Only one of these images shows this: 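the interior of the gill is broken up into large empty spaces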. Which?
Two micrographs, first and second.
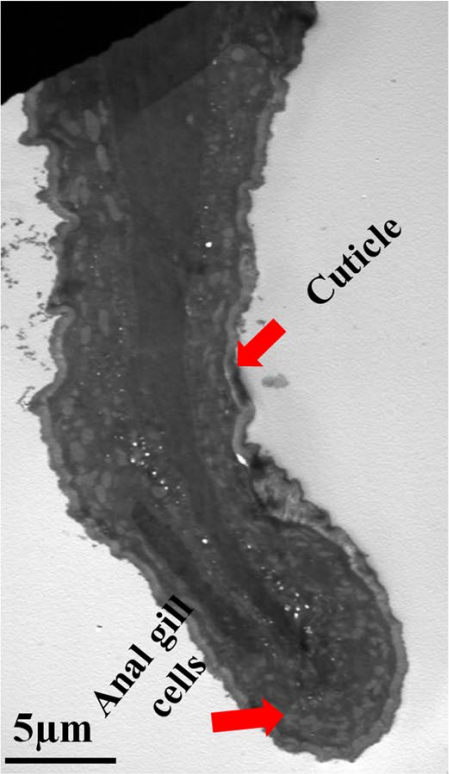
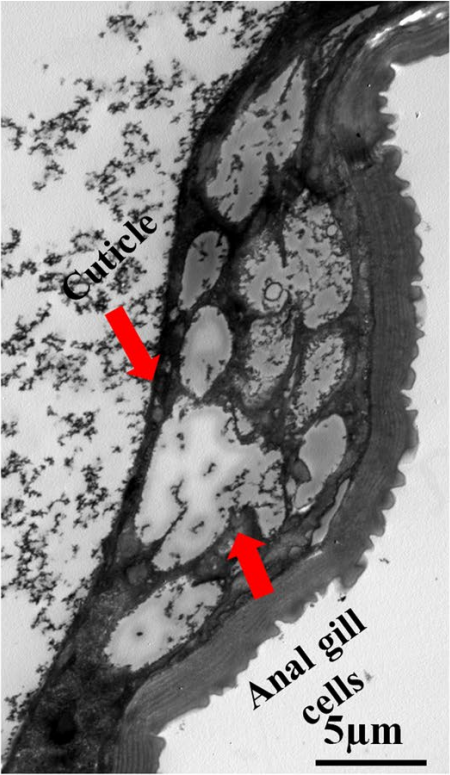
The second image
